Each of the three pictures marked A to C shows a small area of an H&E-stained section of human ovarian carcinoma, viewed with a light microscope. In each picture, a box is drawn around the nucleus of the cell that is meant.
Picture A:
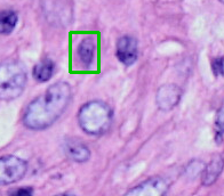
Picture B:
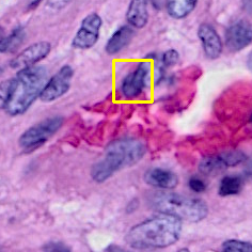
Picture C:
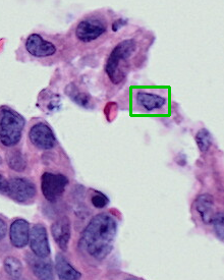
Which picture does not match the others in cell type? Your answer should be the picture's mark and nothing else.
B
